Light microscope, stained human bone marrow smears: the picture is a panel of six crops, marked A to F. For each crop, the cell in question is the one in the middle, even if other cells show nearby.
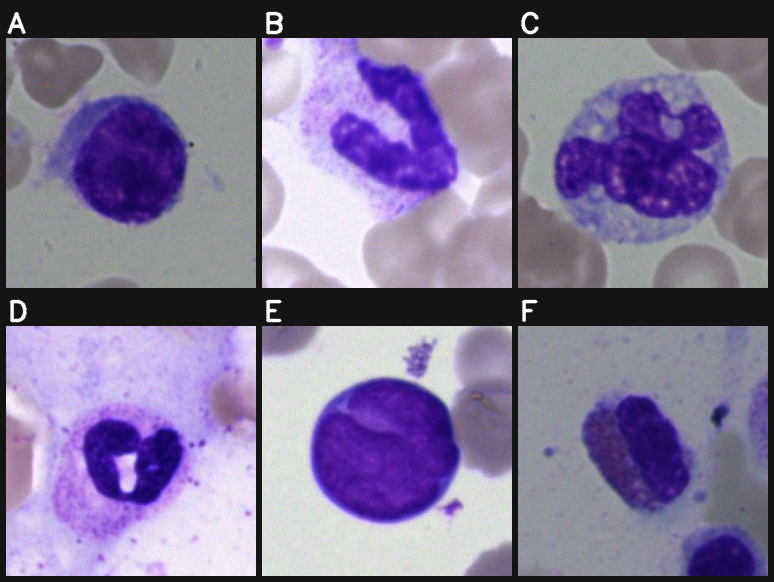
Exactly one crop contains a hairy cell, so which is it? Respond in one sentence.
The crop with a hairy cell in it is crop A.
